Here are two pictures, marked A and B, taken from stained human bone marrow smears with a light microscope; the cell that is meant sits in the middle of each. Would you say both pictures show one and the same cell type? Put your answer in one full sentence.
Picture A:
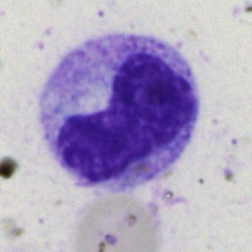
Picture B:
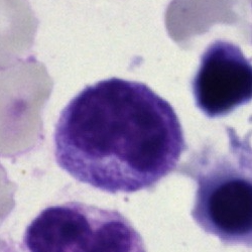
Yes; the cells in both pictures are metamyelocytes.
